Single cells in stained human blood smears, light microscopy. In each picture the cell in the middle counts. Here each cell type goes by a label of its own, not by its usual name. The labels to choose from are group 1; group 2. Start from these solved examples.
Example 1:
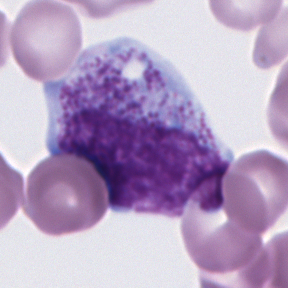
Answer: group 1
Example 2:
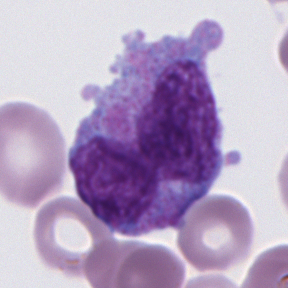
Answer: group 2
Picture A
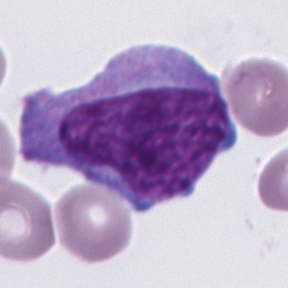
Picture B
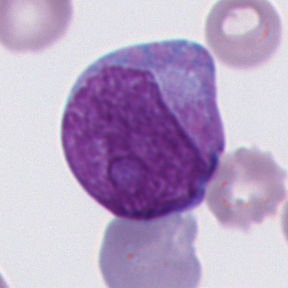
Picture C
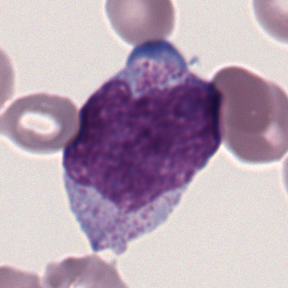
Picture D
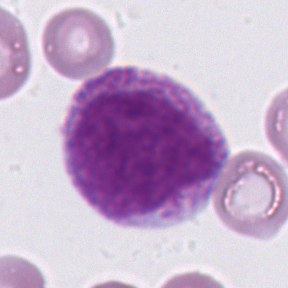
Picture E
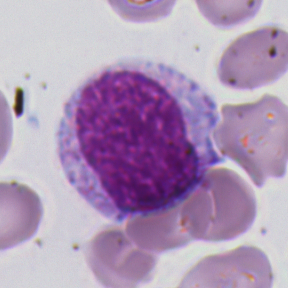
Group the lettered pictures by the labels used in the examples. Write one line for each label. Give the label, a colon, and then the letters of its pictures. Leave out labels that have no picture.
group 1: D, E
group 2: A, B, C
